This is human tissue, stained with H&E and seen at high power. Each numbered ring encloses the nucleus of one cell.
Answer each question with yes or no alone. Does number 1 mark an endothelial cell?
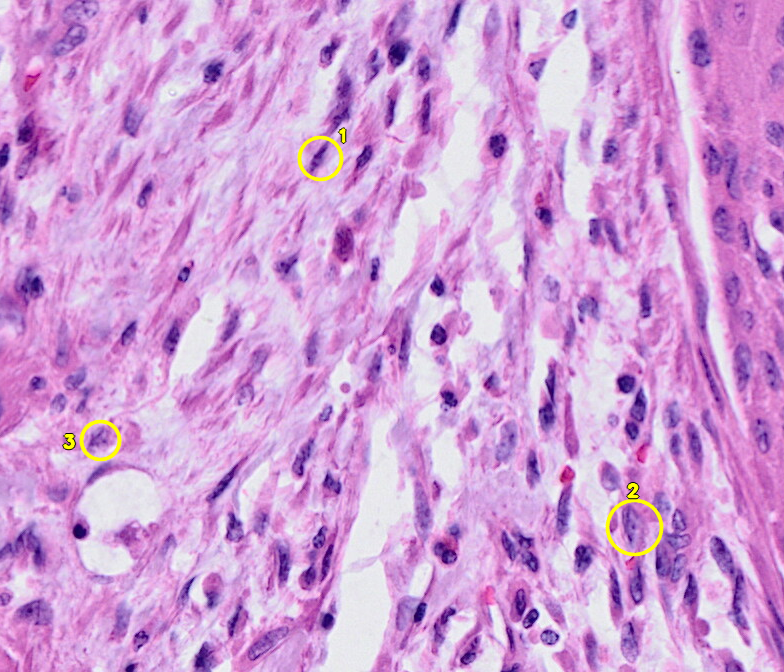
no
